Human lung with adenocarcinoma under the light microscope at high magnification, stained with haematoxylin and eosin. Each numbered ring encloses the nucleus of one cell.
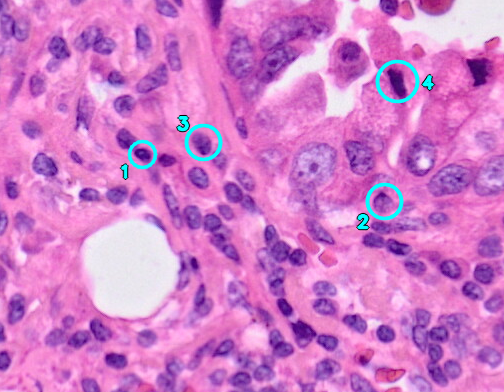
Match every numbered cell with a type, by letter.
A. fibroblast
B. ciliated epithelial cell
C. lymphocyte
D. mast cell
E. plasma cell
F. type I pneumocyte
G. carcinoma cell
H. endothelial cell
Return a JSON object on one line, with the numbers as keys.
{"1": "C", "2": "C", "3": "C", "4": "G"}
